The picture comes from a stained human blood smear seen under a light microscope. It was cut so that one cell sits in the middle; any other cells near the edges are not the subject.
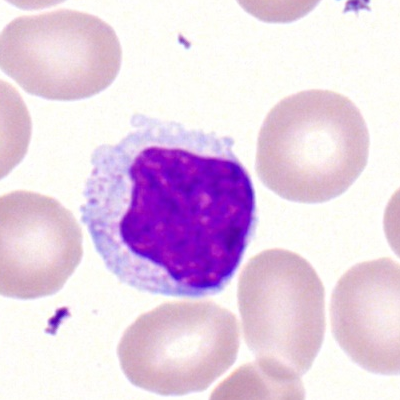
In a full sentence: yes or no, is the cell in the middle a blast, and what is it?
No, the central cell is counted as a lymphocyte instead of a blast.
